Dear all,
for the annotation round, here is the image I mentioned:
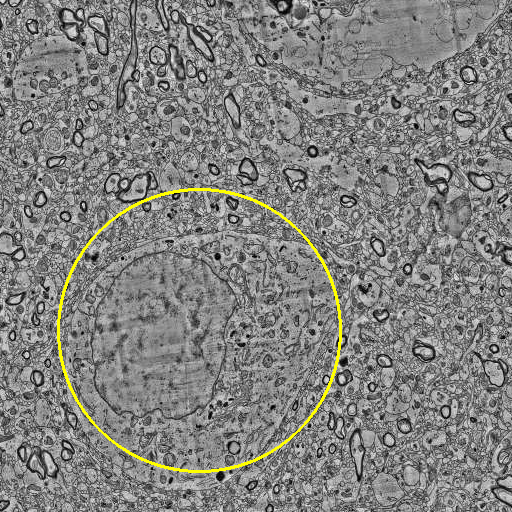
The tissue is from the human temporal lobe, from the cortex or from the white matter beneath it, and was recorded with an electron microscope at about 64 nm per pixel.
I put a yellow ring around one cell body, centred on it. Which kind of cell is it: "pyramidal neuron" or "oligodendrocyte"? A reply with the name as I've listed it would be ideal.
pyramidal neuron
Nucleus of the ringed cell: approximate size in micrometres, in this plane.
The nucleus comes to roughly 11 by 9 micrometres in this plane.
